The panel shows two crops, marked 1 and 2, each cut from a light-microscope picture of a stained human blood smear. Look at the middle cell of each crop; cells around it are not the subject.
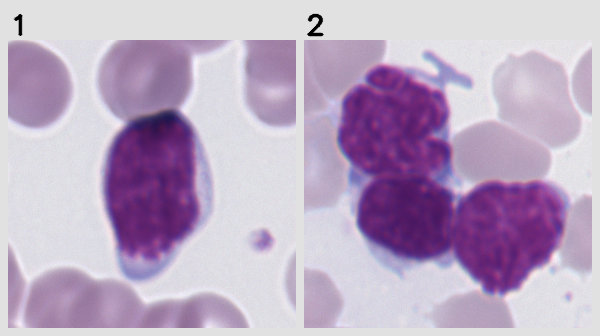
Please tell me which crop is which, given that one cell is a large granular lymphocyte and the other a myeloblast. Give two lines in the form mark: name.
1: large granular lymphocyte
2: myeloblast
